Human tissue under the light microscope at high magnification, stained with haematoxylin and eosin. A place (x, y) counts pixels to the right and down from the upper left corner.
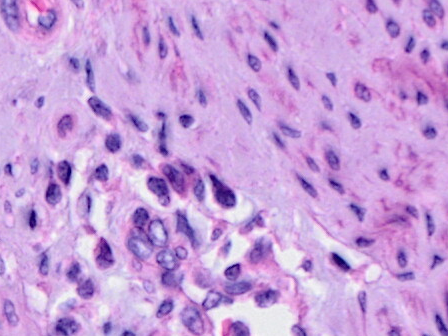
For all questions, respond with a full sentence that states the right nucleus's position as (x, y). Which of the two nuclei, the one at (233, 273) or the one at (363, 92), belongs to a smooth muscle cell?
The pair contains one nucleus of a smooth muscle cell, namely the one at (363, 92).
